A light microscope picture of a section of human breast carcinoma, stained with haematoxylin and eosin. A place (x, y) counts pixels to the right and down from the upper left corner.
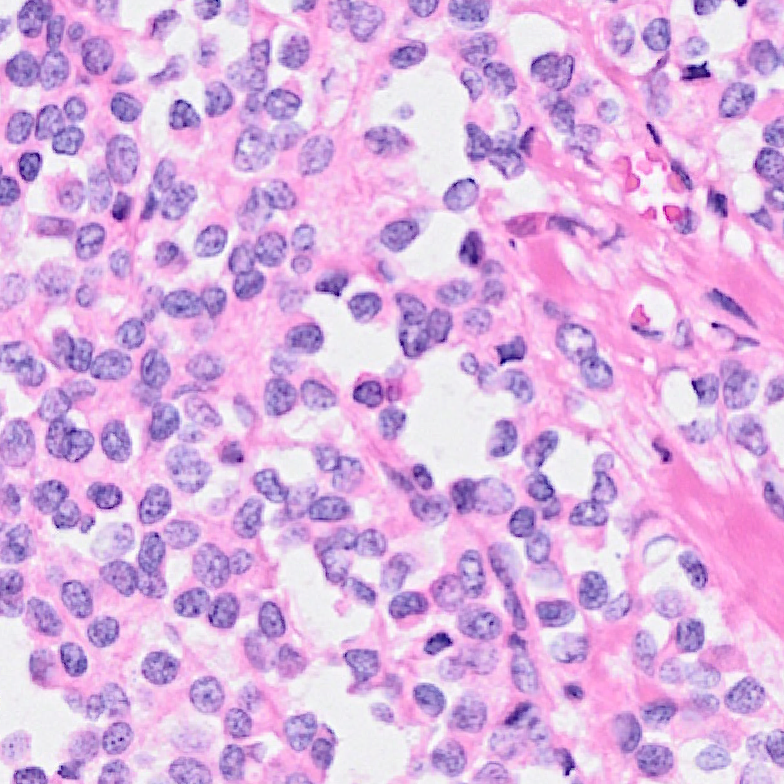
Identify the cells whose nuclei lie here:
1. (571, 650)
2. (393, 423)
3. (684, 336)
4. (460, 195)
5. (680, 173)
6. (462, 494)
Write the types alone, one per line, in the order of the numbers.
carcinoma cell
carcinoma cell
endothelial cell
carcinoma cell
endothelial cell
carcinoma cell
